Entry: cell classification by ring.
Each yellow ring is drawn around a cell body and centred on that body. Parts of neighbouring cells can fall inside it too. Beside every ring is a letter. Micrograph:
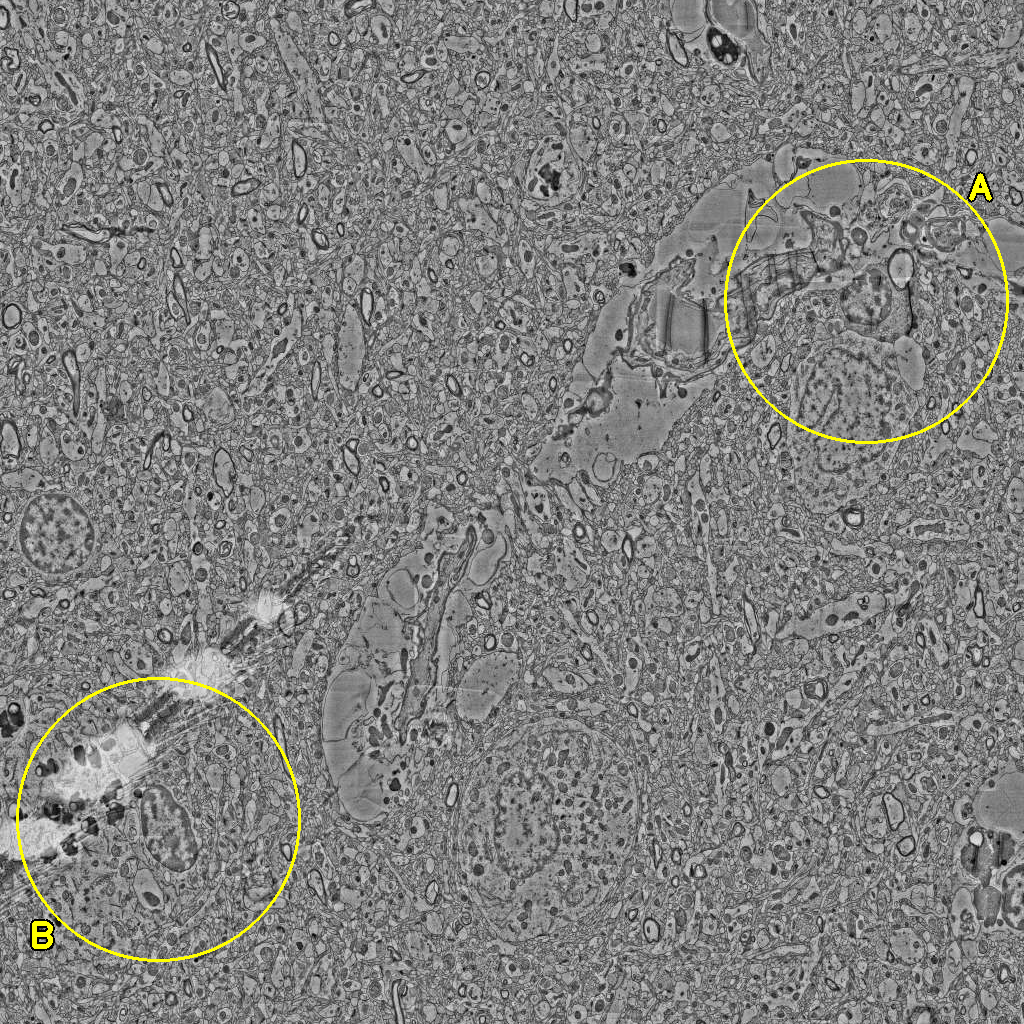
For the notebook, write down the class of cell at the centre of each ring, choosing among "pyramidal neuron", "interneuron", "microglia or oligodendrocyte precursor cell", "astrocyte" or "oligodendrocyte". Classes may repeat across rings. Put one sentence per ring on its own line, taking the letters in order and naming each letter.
Ring A marks an oligodendrocyte.
Ring B marks a microglial cell or oligodendrocyte precursor cell.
